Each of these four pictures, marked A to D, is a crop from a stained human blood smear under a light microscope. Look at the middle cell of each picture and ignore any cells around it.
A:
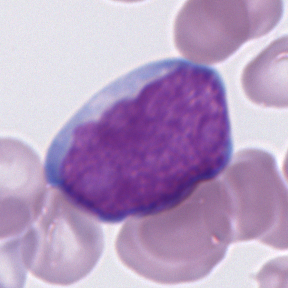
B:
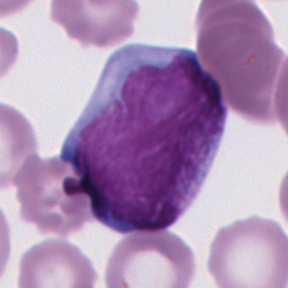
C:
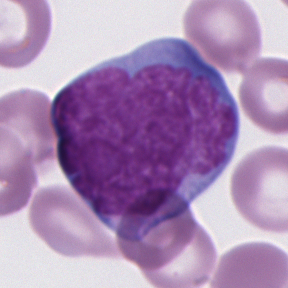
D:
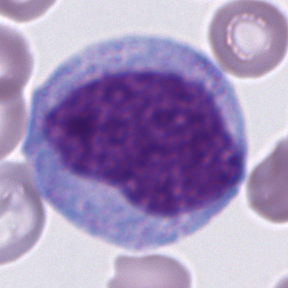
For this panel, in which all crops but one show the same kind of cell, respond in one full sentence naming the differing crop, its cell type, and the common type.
The pattern of myeloblasts across the crops is broken only by crop D, which shows a promyelocyte.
